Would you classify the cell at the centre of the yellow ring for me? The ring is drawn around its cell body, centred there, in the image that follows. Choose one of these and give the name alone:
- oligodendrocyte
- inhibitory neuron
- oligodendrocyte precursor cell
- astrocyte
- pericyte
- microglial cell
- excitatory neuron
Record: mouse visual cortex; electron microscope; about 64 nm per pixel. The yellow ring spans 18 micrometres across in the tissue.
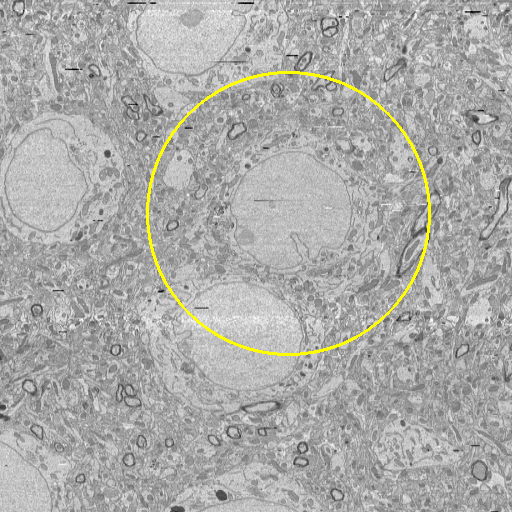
inhibitory neuron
